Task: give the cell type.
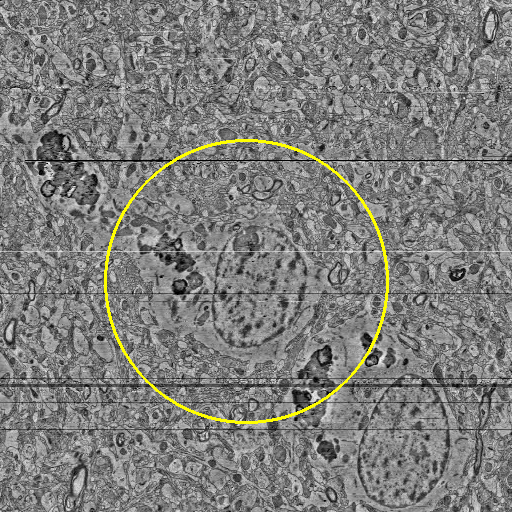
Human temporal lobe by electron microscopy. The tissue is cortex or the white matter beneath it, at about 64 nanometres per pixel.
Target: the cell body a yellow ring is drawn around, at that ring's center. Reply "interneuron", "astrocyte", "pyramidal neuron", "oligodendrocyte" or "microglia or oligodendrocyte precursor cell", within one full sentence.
In this picture, the cell whose body lies at the ring's center is an astrocyte.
